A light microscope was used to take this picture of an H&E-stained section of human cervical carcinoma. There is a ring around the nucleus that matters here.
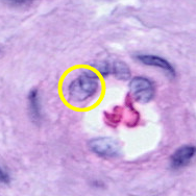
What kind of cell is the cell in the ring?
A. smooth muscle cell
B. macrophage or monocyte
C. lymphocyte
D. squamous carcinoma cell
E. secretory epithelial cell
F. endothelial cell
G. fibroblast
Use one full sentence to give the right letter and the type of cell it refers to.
Option F stands as correct, with the cell in the ring being an endothelial cell.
